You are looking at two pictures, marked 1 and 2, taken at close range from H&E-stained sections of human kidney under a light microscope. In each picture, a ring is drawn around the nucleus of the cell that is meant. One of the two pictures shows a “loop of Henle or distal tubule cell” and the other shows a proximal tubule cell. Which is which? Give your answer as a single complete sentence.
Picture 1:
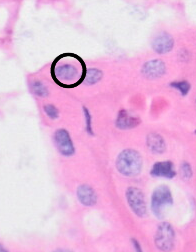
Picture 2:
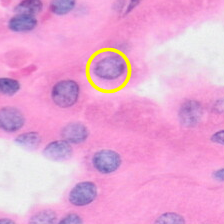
Picture 2 shows a proximal tubule cell, while picture 1 shows a “loop of Henle or distal tubule cell”.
